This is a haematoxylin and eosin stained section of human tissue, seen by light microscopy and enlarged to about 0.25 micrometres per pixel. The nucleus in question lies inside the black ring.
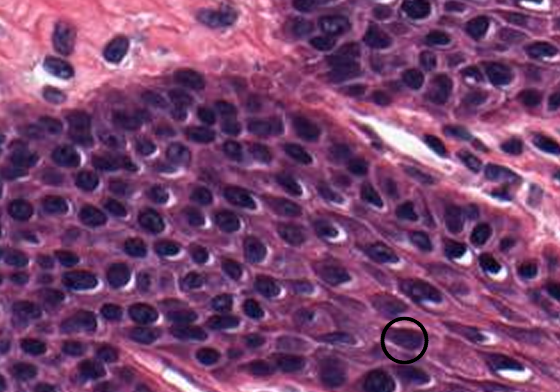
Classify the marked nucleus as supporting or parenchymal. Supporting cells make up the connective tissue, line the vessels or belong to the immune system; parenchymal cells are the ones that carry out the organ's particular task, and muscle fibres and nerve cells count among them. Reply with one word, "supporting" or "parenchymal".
parenchymal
